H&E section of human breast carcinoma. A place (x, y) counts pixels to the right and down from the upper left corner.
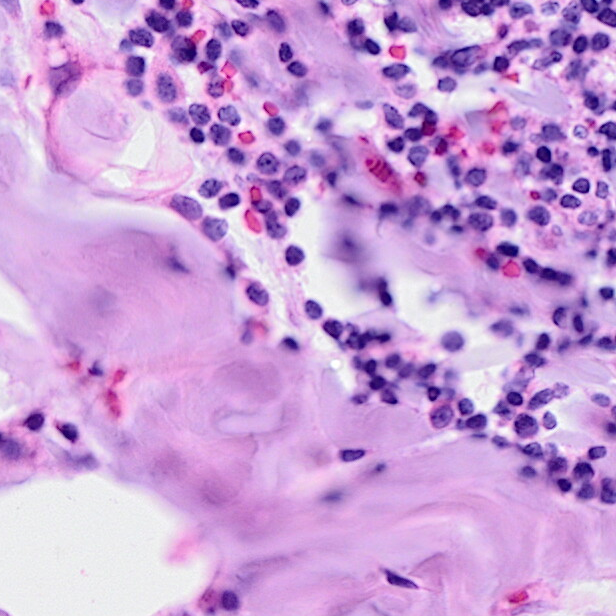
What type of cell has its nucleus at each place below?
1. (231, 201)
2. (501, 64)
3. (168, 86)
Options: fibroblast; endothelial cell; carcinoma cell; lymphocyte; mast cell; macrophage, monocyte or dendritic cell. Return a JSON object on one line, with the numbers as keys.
{"1": "lymphocyte", "2": "lymphocyte", "3": "mast cell"}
